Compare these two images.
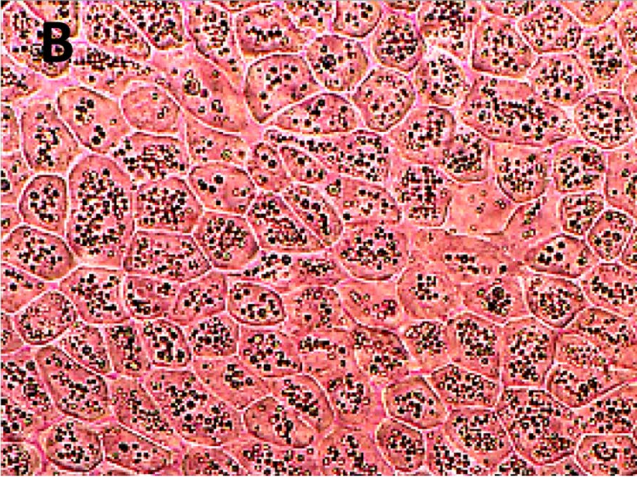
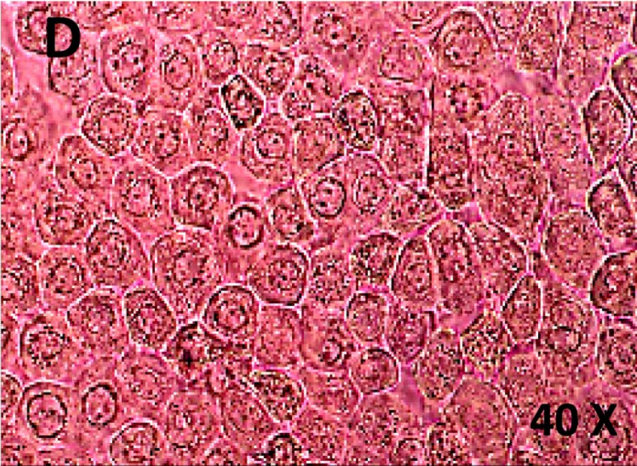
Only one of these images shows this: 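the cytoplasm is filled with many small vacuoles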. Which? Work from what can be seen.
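Second image: cells show a finely granular cytoplasm with a distinct round nucleus and no crowding vacuoles. First image: cells are packed with numerous dark round vacuoles that obscure the nucleus. On this evidence: the first image.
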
